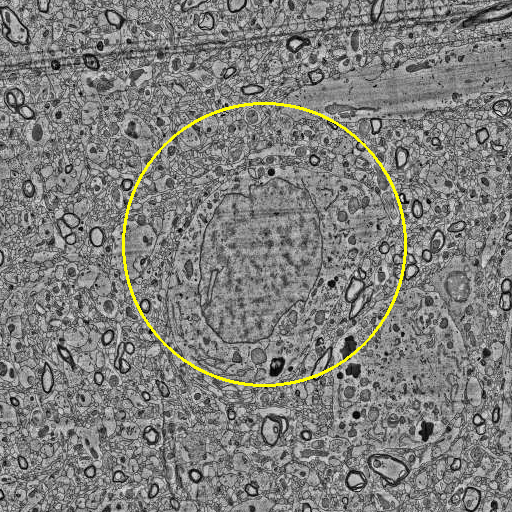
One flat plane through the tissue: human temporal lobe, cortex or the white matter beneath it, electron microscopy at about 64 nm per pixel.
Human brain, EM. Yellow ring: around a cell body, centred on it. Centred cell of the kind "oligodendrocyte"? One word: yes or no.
no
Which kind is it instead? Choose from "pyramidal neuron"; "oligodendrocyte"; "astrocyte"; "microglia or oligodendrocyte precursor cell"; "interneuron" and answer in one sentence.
The cell in question here is a pyramidal neuron.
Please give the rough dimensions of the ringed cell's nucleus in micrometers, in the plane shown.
The ringed cell's nucleus measures approximately 11 by 8 micrometres in this plane.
